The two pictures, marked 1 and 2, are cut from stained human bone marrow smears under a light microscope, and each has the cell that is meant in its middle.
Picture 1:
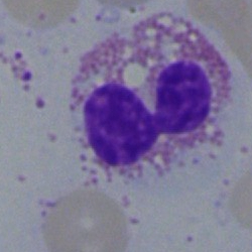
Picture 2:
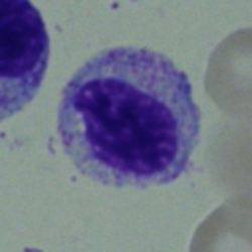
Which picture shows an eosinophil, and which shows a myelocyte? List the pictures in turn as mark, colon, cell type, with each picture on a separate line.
1: eosinophil
2: myelocyte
